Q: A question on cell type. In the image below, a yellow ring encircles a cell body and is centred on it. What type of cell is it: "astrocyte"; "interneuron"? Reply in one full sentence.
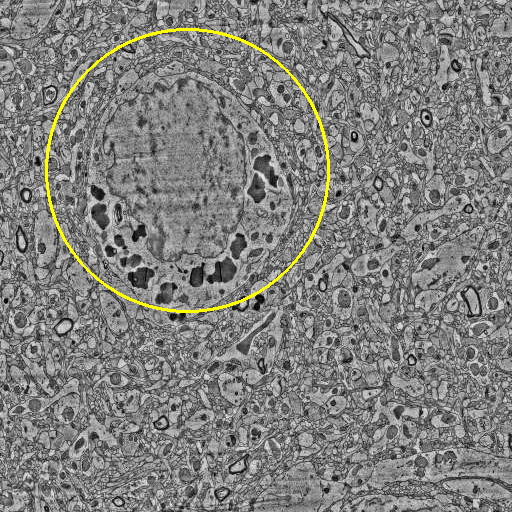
It is an interneuron whose cell body sits at the centre of the yellow ring in the image.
